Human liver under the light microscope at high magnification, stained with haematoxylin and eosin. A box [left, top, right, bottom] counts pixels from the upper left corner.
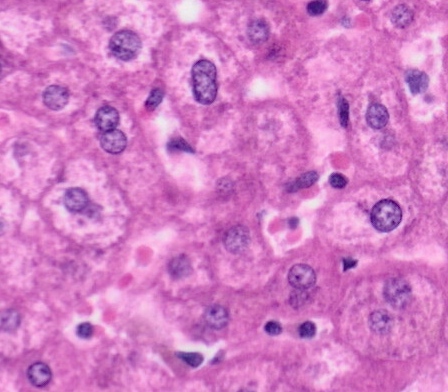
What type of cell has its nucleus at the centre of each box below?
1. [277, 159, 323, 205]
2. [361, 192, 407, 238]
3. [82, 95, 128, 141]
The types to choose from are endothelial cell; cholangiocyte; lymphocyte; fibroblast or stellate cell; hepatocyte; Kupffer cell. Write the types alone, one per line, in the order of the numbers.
Kupffer cell
hepatocyte
hepatocyte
